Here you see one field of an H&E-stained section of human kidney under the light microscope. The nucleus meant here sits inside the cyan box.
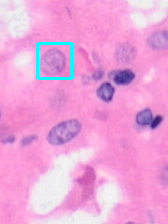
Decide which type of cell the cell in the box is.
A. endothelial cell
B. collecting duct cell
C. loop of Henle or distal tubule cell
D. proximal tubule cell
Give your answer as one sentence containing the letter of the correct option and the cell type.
Option D is the correct one: the cell in the box is a proximal tubule cell.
